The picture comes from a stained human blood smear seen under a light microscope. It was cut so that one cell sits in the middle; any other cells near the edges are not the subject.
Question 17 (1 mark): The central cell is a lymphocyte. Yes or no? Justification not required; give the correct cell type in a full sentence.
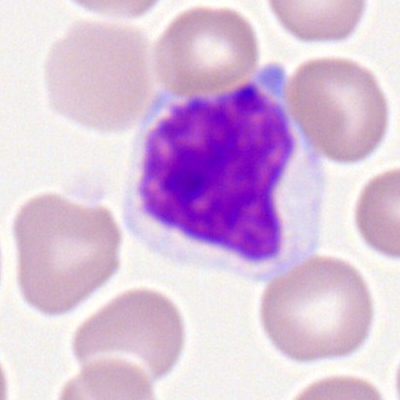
Yes, the identification of the central cell as a lymphocyte is correct.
